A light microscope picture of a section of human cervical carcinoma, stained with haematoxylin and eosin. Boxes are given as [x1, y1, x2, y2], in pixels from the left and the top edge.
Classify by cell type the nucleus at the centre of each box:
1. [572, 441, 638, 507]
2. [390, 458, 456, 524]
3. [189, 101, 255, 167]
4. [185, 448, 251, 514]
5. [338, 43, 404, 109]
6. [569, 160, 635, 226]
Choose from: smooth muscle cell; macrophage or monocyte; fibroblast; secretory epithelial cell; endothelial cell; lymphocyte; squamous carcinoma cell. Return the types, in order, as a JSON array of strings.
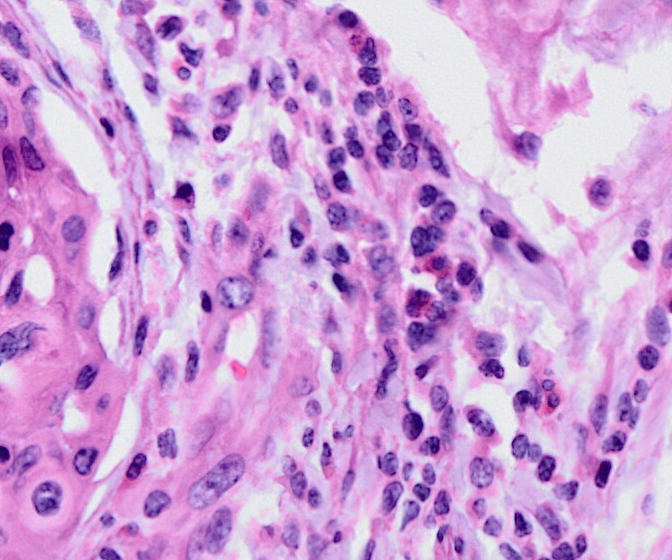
["lymphocyte", "lymphocyte", "lymphocyte", "endothelial cell", "lymphocyte", "macrophage or monocyte"]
